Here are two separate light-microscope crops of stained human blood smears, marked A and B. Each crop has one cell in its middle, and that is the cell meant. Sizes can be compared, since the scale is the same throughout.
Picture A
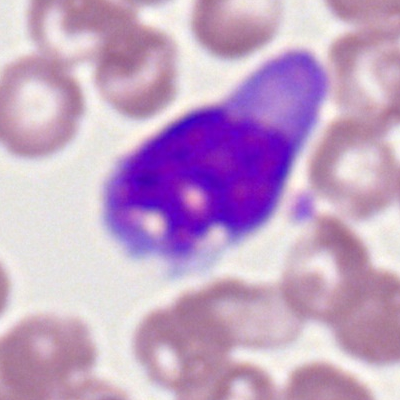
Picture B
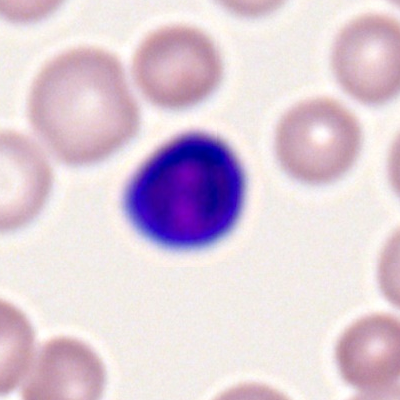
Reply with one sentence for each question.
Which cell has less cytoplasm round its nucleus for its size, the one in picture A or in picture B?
In picture B the nucleus takes up the larger part of its cell.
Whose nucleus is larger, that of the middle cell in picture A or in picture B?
Picture A shows the larger nucleus; it covers about 1.5 times the area of the nucleus in picture B.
